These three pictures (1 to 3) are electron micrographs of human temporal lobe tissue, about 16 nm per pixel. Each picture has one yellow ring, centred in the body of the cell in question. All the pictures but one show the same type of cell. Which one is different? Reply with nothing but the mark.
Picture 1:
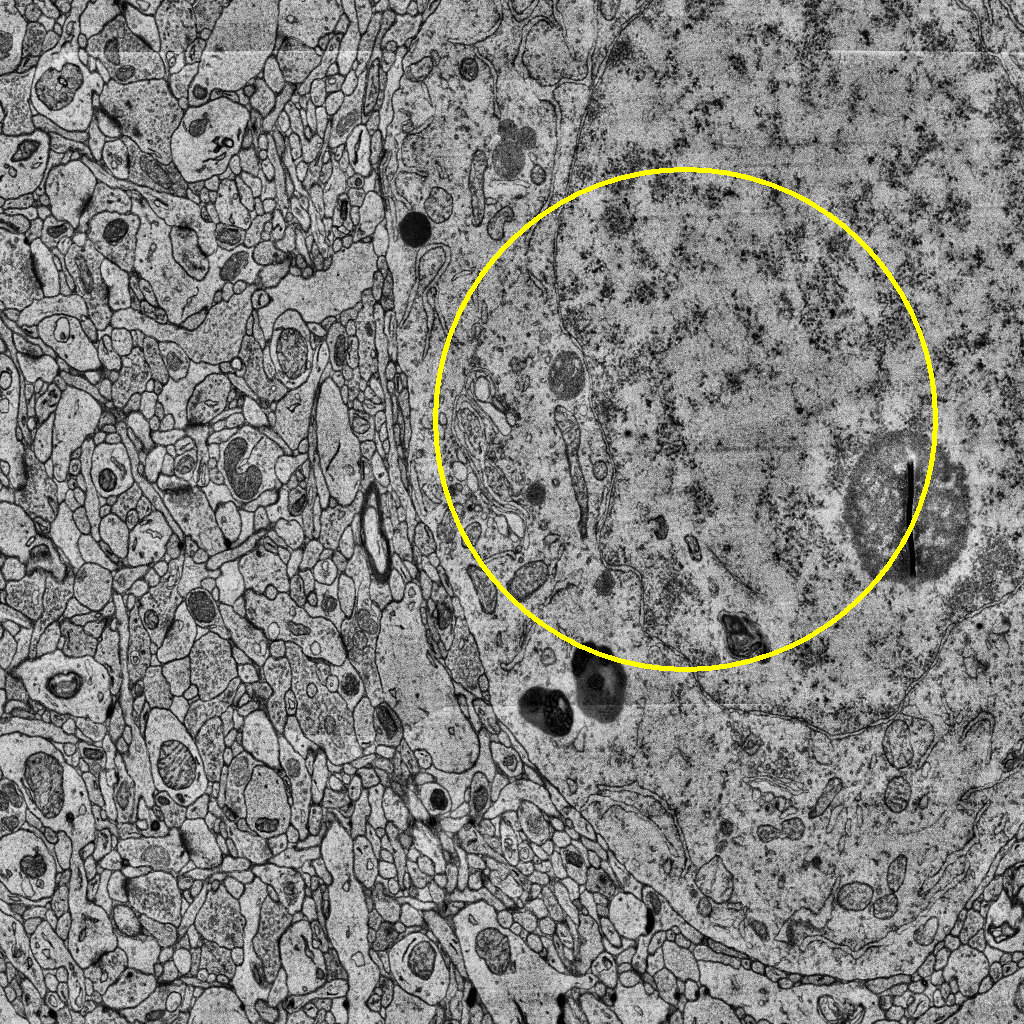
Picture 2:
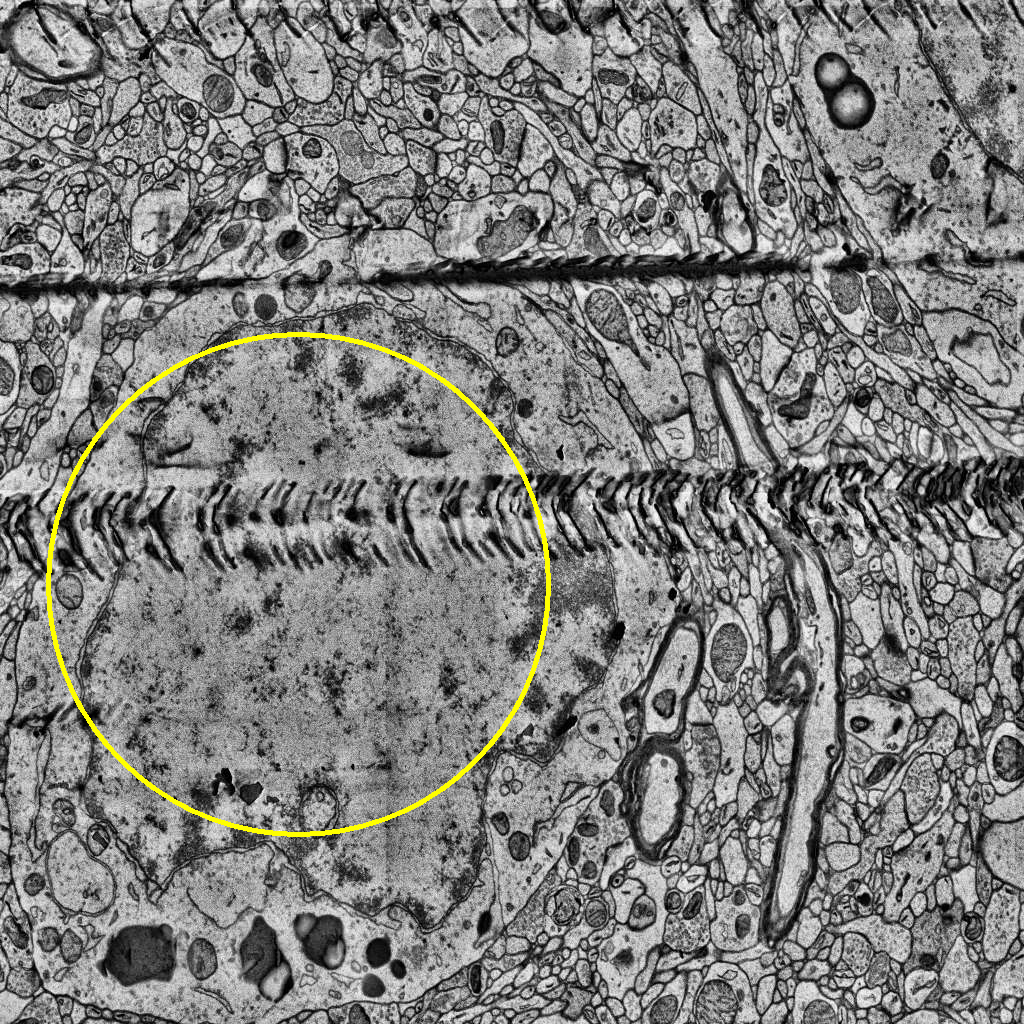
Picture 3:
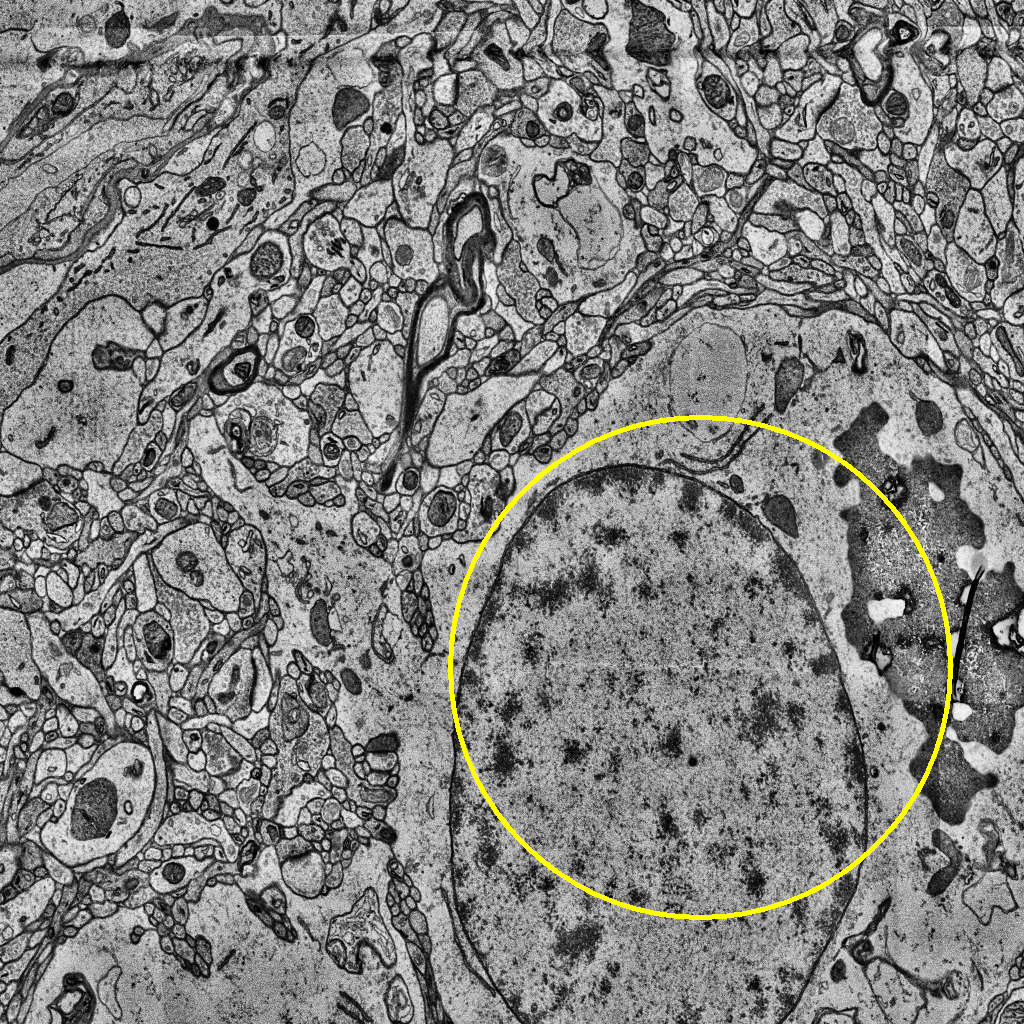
3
